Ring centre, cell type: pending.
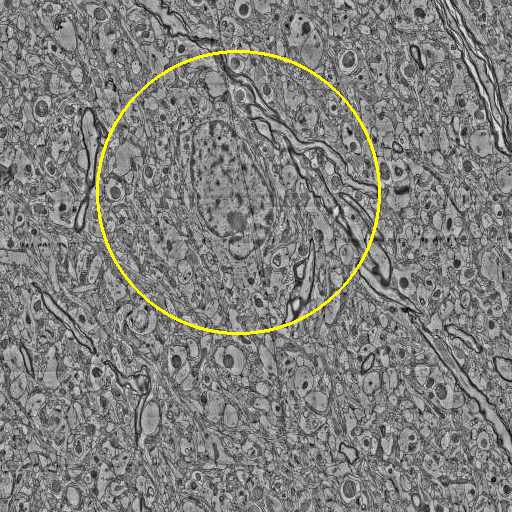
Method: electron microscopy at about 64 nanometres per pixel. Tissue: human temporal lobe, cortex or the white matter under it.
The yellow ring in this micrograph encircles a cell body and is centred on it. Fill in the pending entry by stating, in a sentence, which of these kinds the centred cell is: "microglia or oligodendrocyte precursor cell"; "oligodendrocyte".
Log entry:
The centred cell is recorded as a microglial cell or oligodendrocyte precursor cell.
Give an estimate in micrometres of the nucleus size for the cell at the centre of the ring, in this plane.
In this plane, approximately 9 by 5 micrometers.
